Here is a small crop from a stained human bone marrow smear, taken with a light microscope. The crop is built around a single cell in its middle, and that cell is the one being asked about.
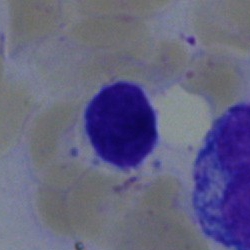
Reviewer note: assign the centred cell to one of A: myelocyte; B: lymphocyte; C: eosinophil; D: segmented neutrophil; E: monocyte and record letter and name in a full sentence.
The one to choose is option B, as the cell in the middle is a lymphocyte.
